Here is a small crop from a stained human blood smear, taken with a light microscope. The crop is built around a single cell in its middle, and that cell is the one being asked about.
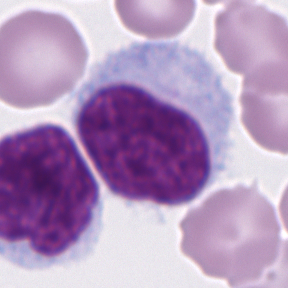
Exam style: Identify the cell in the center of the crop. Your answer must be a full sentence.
Regarding the central cell, it is a hairy cell.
